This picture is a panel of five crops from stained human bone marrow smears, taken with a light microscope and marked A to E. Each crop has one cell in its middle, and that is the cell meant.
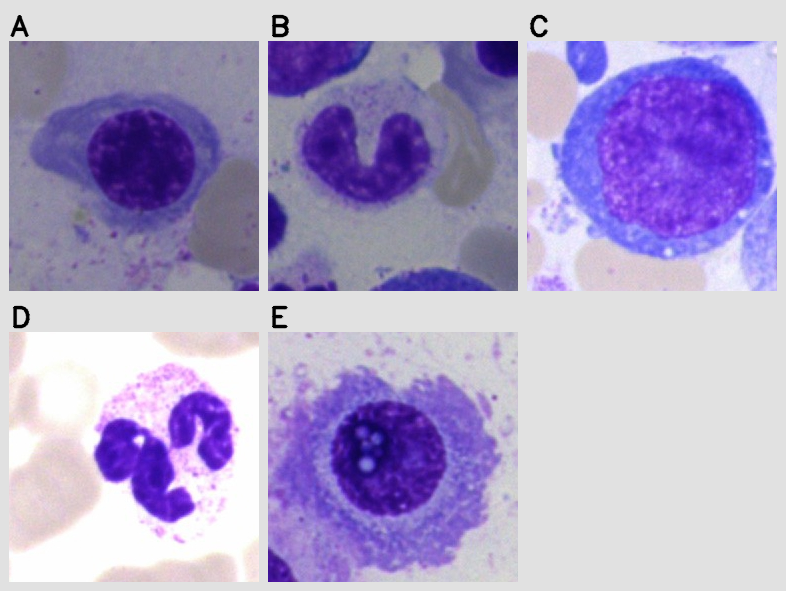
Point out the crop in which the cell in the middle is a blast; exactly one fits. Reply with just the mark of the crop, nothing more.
C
